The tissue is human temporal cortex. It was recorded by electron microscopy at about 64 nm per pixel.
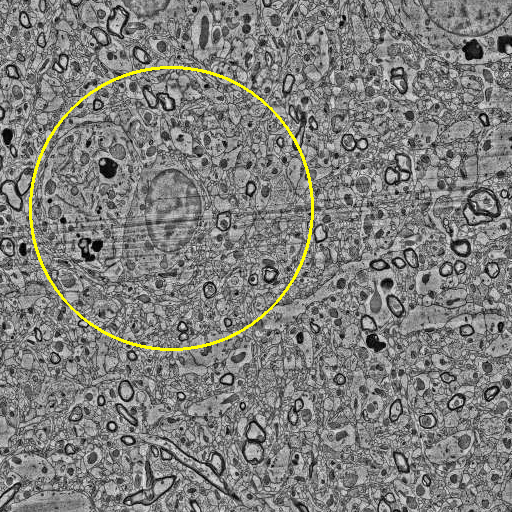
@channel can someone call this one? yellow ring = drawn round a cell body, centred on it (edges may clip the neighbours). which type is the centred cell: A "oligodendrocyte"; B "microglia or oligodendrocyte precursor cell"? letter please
A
